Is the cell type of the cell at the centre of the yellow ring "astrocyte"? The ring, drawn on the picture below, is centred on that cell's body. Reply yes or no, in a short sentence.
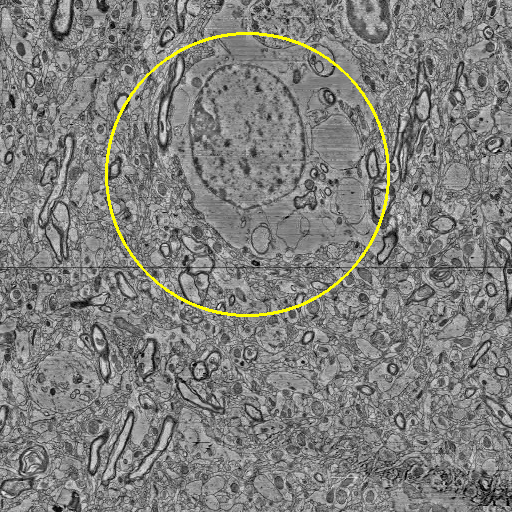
Yes, that is its cell type.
